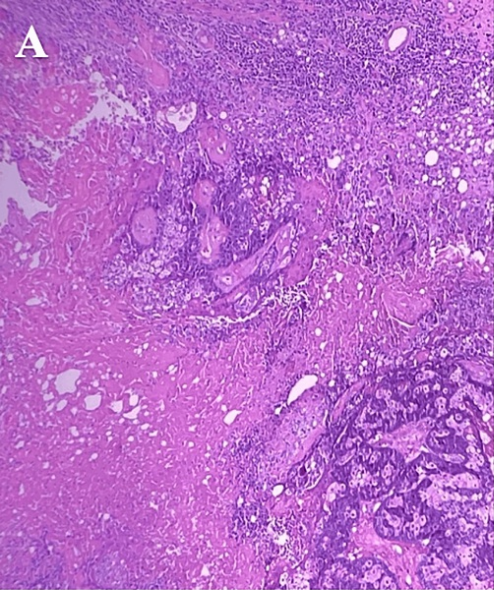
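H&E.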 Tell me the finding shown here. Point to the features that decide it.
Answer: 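Infiltrative growth pattern. Irregular nests of dark tumor cells lie scattered within pink fibrous stroma. The nests have no smooth, uniform border against the surrounding tissue.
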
